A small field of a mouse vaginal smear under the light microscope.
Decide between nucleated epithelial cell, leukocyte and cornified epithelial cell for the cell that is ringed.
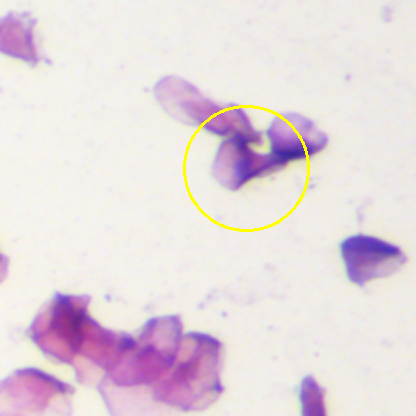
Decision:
I take the ringed cell for a cornified epithelial cell.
